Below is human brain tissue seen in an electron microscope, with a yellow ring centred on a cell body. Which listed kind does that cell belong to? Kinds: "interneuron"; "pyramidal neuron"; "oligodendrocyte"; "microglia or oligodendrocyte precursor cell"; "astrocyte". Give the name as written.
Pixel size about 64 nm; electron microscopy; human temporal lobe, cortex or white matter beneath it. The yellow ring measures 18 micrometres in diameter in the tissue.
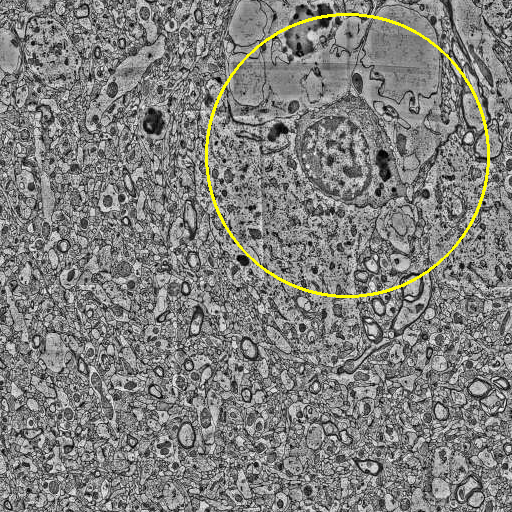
oligodendrocyte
